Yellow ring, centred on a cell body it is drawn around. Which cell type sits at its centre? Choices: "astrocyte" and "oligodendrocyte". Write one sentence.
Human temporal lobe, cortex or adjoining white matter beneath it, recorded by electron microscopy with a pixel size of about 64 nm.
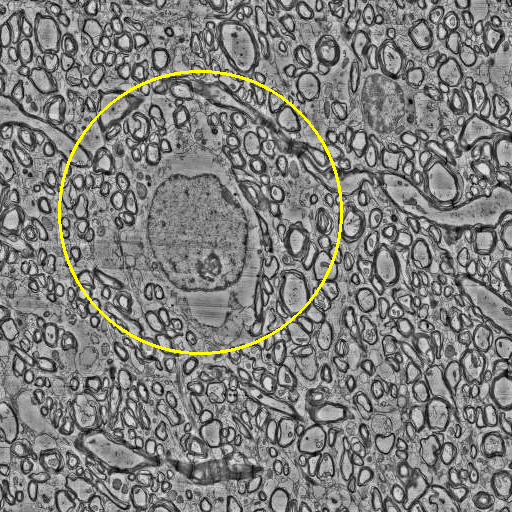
At the centre of the ring sits an astrocyte.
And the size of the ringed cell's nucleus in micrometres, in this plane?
The nucleus appears roughly 8 by 6 micrometres in this plane.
